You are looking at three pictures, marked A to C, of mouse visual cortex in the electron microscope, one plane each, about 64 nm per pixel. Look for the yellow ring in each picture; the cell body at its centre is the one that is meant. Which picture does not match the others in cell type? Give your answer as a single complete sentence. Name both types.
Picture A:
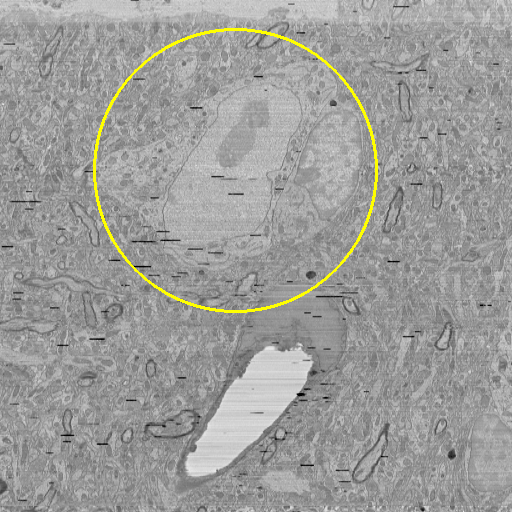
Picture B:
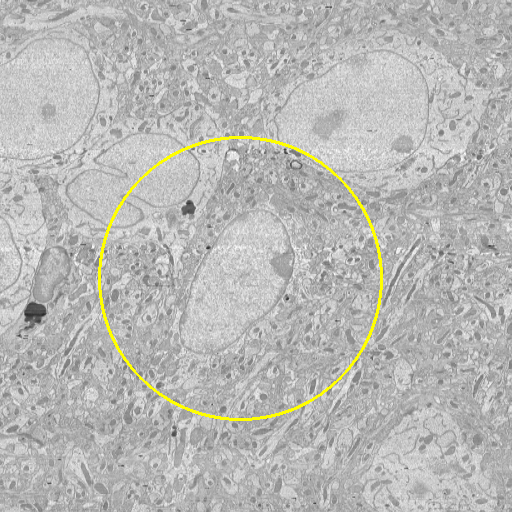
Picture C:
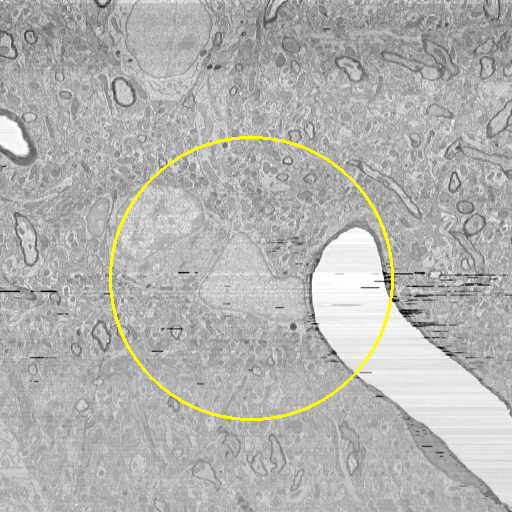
The different one is picture A; it shows an excitatory neuron, whereas all the others show astrocytes.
